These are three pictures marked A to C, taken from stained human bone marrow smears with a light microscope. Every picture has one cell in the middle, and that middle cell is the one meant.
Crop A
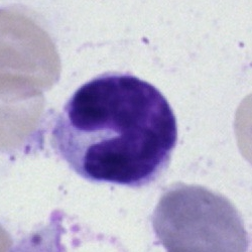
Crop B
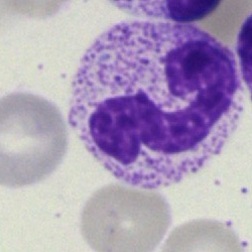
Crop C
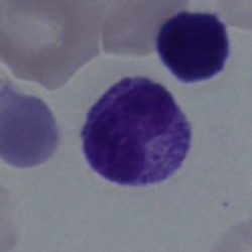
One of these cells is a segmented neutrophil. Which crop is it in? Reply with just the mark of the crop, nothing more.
B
